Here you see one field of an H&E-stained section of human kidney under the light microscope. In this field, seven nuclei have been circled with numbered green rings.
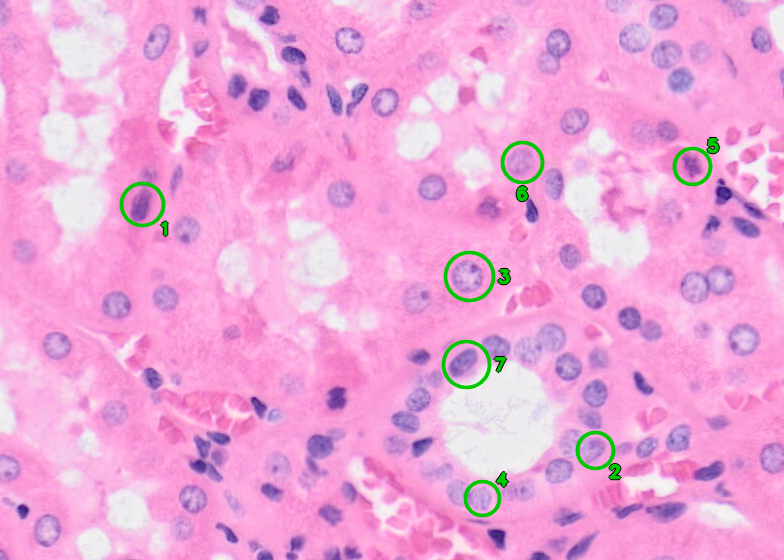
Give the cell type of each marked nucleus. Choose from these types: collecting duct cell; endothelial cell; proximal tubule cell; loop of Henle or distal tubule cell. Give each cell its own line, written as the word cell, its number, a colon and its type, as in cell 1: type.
cell 1: proximal tubule cell
cell 2: collecting duct cell
cell 3: proximal tubule cell
cell 4: collecting duct cell
cell 5: proximal tubule cell
cell 6: proximal tubule cell
cell 7: collecting duct cell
